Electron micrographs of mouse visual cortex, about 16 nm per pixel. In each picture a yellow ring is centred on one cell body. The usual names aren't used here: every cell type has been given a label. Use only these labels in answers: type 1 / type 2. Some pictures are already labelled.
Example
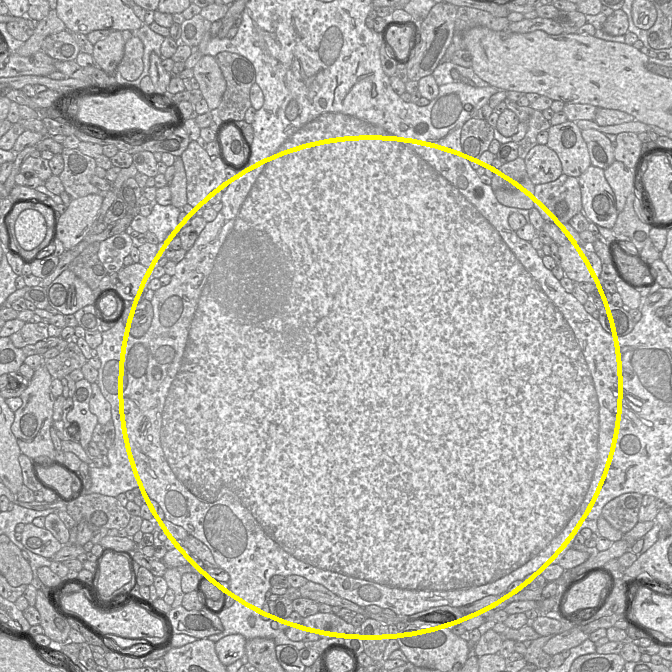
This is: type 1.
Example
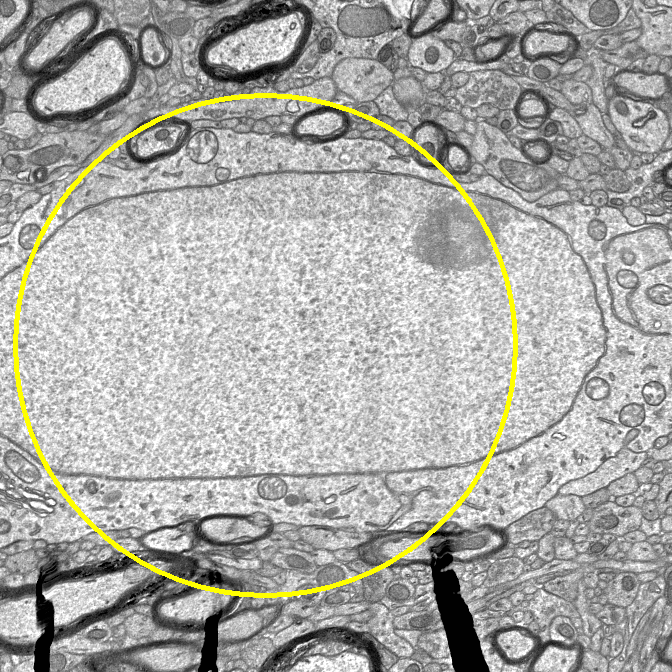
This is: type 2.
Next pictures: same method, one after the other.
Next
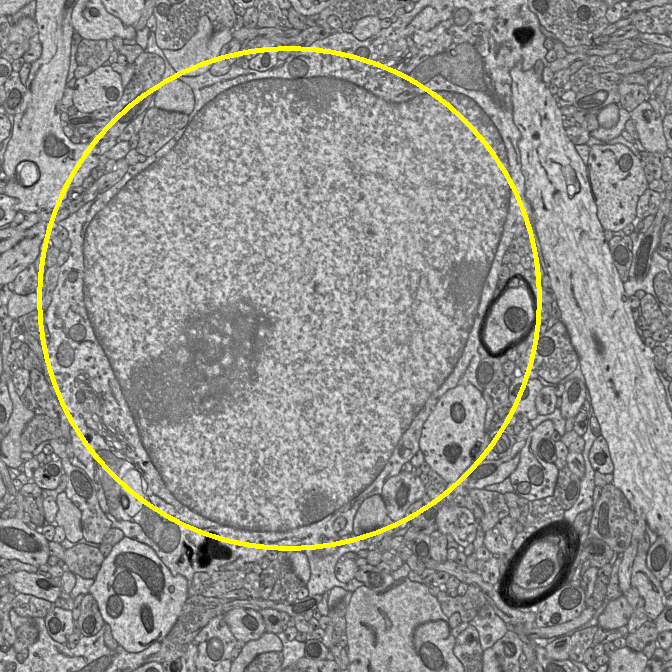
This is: type 1.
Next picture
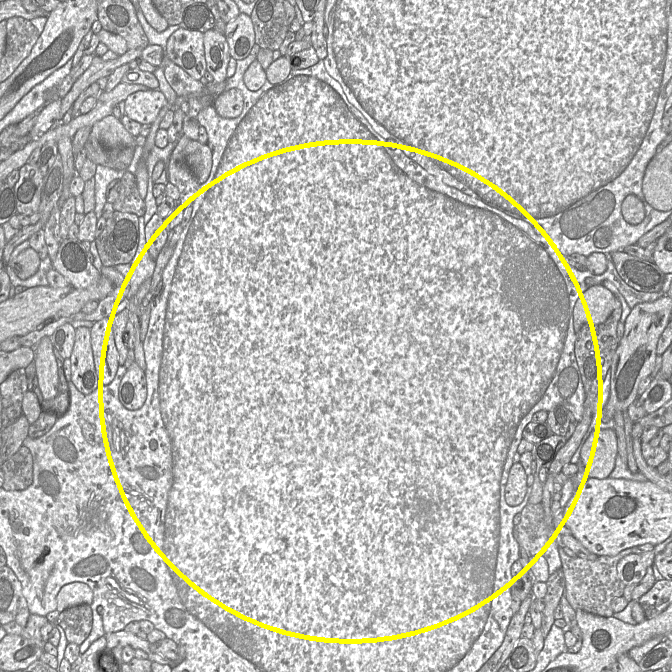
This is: type 1.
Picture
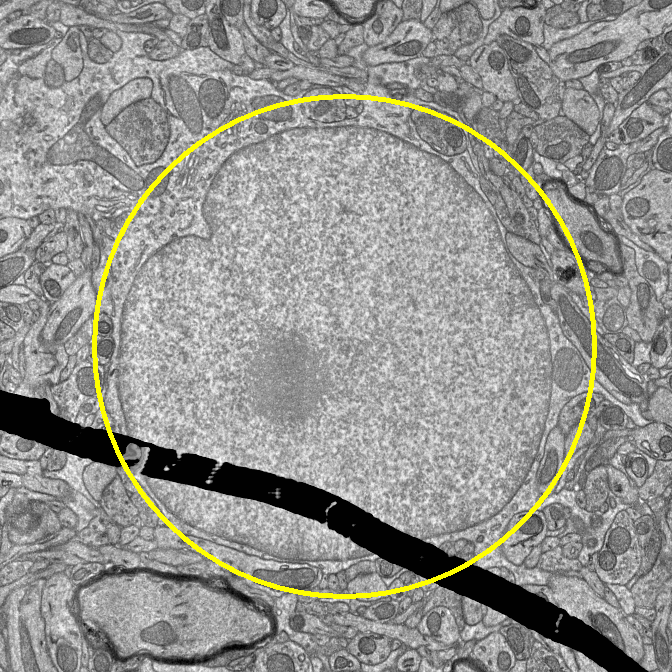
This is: type 1.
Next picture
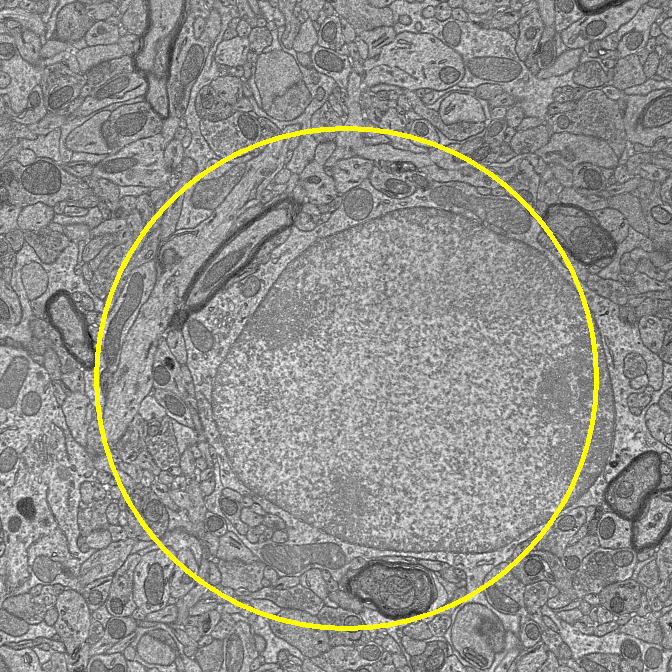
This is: type 1.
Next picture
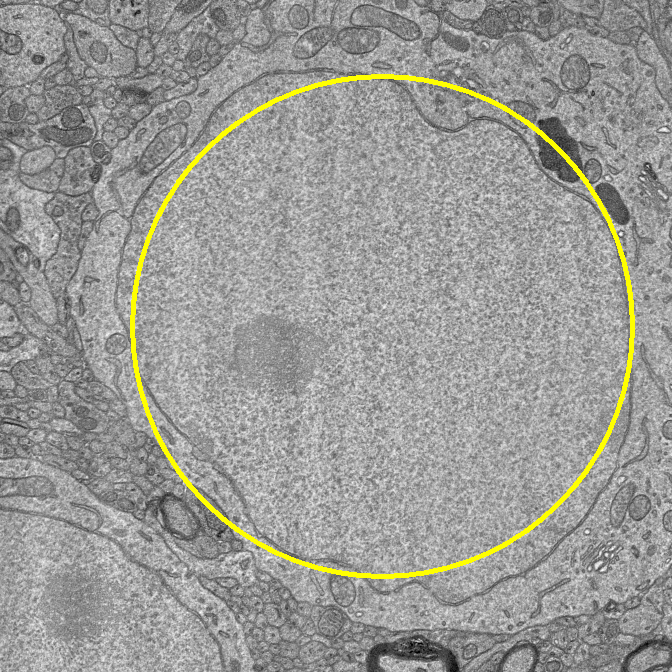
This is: type 2.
